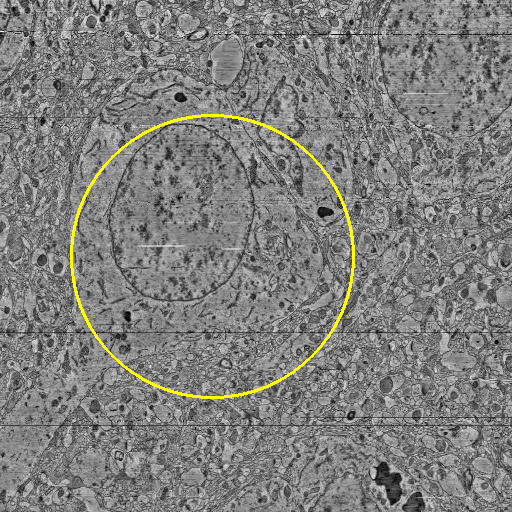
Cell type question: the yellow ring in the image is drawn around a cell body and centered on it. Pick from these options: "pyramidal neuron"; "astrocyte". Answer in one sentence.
The ringed cell at the center is a pyramidal neuron.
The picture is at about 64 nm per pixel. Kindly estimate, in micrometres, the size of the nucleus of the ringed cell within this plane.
In this plane the nucleus spans approximately 12 by 9 micrometers.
